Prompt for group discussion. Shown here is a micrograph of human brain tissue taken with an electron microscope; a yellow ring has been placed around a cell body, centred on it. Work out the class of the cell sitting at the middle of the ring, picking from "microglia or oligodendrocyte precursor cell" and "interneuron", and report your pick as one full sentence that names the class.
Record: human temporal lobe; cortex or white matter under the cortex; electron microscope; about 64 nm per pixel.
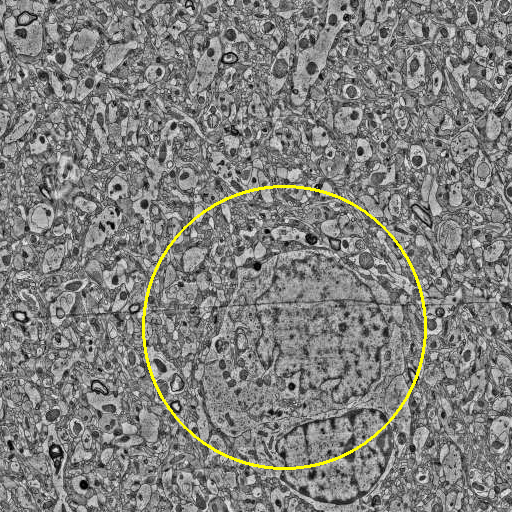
The cell sitting at the middle of the yellow ring is an interneuron.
